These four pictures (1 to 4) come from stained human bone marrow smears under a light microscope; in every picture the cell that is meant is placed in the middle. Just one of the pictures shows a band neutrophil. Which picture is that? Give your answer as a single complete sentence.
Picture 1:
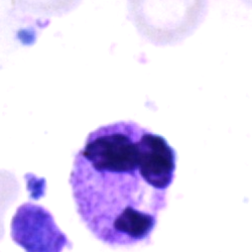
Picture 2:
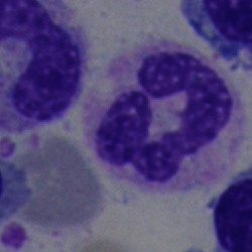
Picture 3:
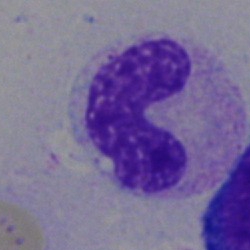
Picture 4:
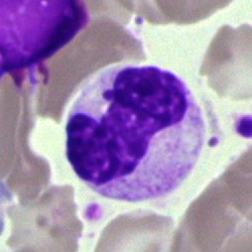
The picture with the band neutrophil is 3.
